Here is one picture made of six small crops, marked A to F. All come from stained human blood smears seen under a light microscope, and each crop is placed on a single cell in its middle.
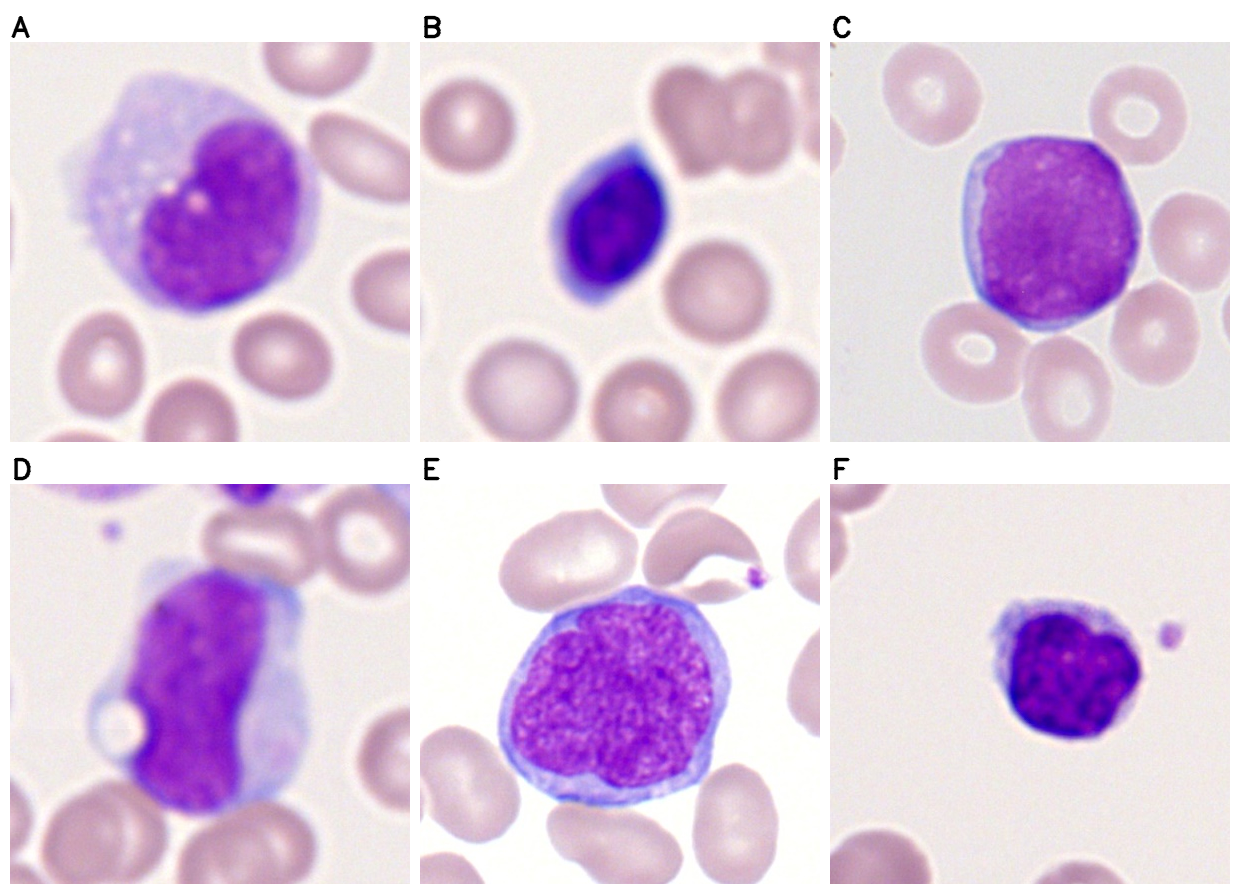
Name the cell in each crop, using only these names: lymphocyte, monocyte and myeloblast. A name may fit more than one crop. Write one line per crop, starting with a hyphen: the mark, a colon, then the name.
- A: monocyte
- B: lymphocyte
- C: myeloblast
- D: monocyte
- E: myeloblast
- F: lymphocyte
